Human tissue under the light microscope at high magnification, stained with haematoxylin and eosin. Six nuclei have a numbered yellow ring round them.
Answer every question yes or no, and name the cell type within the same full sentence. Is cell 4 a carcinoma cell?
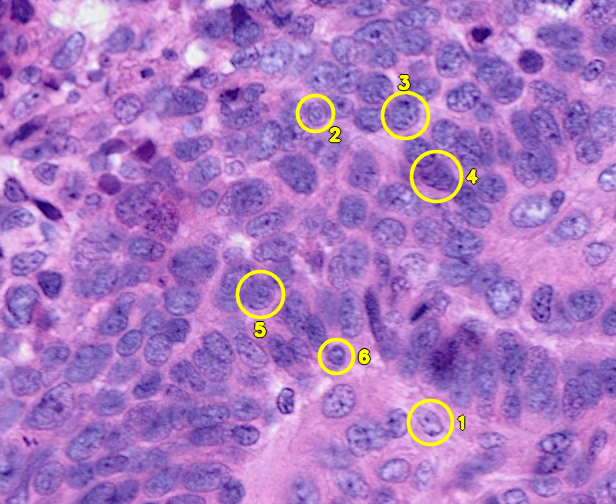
Yes, it is a carcinoma cell that number 4 identifies.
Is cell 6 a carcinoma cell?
No, cell number 6 is a macrophage or monocyte; it is not a carcinoma cell.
